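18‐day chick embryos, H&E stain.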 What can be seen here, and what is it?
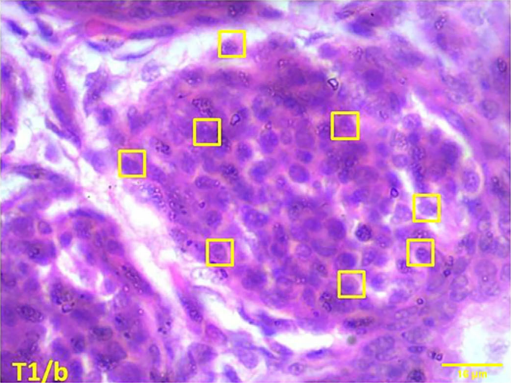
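A lymphatic follicle of the bursa filled with lymphocytes, surrounded by pale connective tissue. The lymphocytes are round cells with round purple-stained nuclei and scant cytoplasm, closely packed in a rounded cluster. Elongated cells and pale spaces lie along the margin of the follicle.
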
